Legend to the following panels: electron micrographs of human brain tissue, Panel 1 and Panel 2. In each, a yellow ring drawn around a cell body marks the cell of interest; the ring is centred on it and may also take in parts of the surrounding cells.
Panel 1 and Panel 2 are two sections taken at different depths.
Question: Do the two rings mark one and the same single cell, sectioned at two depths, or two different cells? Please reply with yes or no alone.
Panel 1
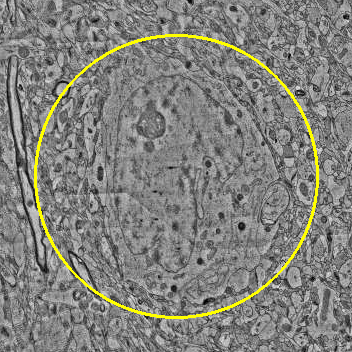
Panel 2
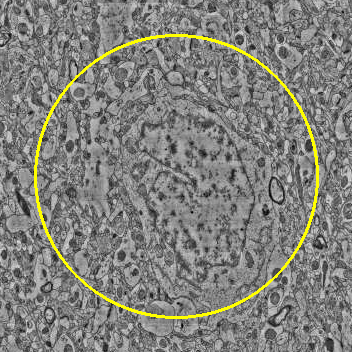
no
